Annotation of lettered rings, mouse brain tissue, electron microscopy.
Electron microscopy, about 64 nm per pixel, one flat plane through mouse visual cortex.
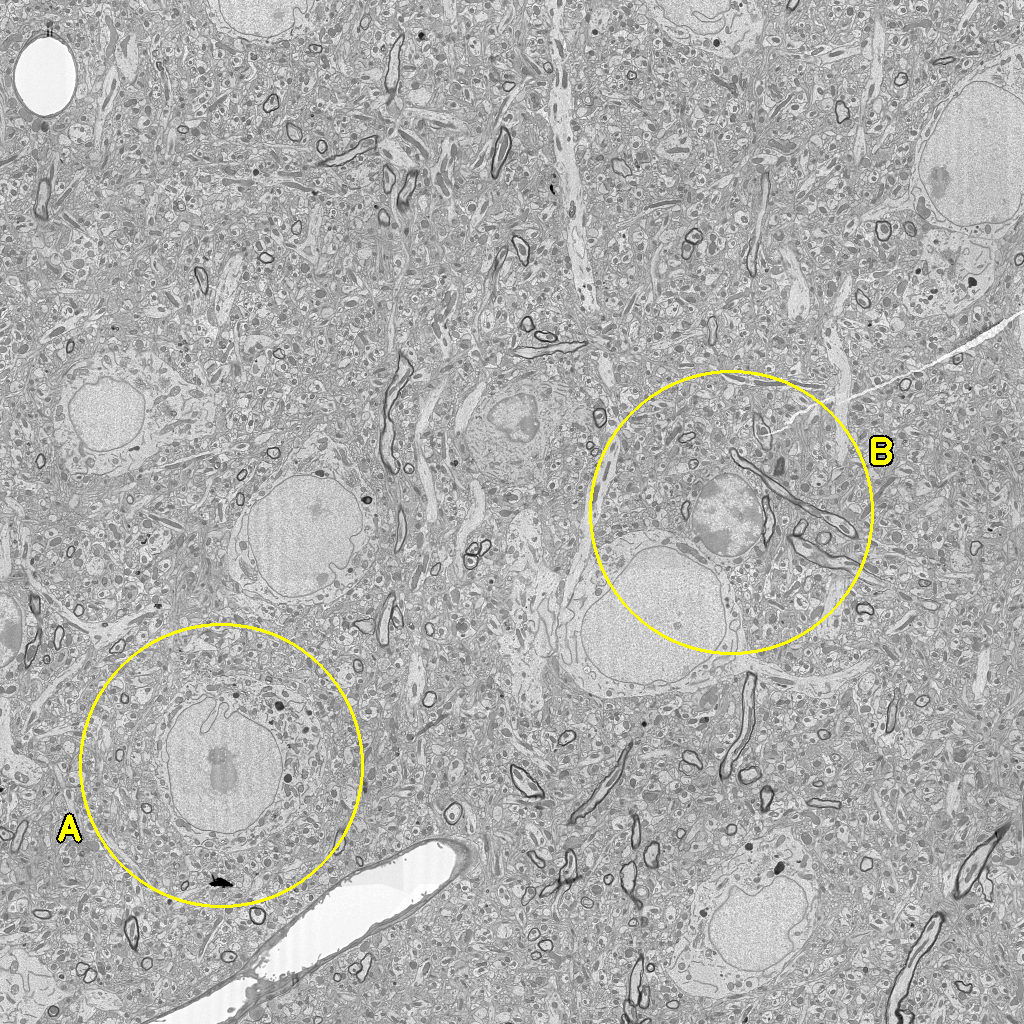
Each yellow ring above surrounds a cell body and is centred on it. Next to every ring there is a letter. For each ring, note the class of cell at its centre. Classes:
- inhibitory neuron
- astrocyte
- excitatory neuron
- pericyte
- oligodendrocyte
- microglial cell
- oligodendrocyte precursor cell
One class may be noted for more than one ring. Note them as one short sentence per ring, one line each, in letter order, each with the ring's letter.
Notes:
The class noted at ring A is an inhibitory neuron.
The class noted at ring B is an oligodendrocyte.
